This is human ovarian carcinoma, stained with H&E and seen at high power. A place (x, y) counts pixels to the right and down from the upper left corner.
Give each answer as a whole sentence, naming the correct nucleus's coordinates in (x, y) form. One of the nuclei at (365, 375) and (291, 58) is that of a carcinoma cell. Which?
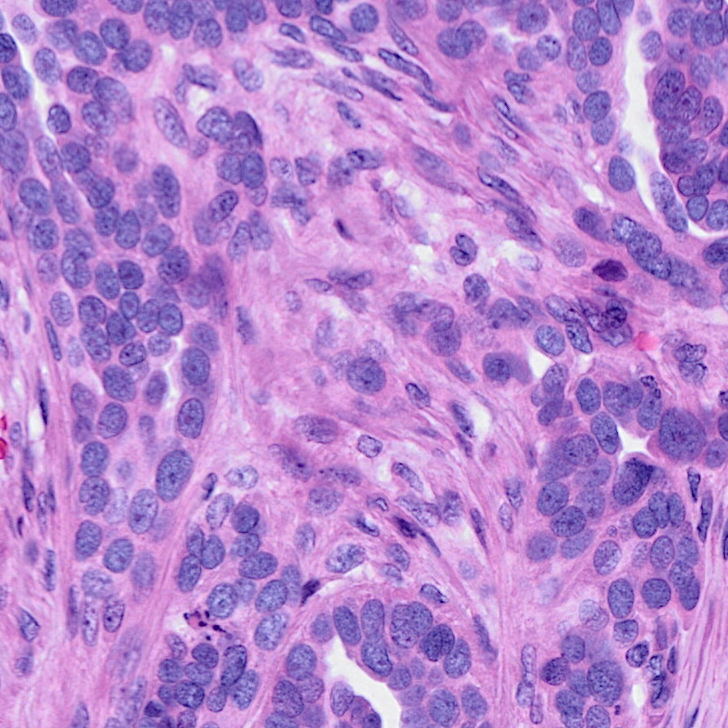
The nucleus at (365, 375), rather than the other one, belongs to a carcinoma cell.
